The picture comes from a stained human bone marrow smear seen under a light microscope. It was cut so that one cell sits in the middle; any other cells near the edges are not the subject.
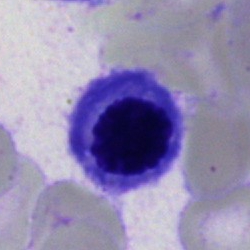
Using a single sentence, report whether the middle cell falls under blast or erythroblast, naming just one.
The cell of interest, located centrally, is an erythroblast.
